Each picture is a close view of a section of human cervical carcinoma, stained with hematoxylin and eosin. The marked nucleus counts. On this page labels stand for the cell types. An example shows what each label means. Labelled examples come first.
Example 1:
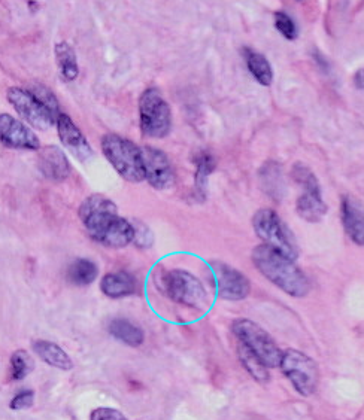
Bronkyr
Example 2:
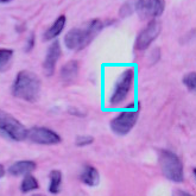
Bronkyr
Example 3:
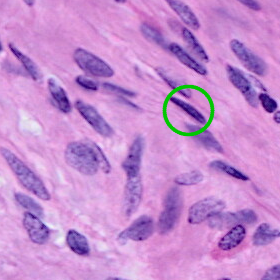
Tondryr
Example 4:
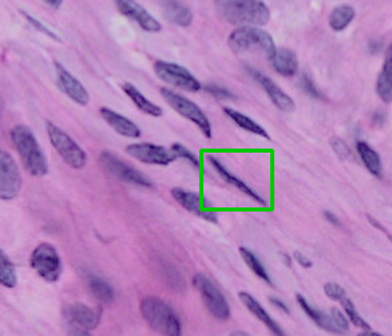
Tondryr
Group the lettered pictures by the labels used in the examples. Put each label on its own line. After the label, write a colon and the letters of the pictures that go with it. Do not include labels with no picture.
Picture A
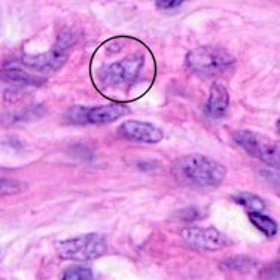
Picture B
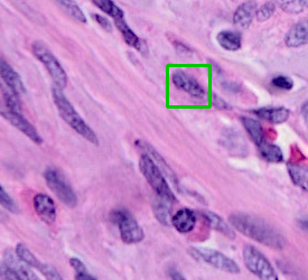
Bronkyr: A, B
